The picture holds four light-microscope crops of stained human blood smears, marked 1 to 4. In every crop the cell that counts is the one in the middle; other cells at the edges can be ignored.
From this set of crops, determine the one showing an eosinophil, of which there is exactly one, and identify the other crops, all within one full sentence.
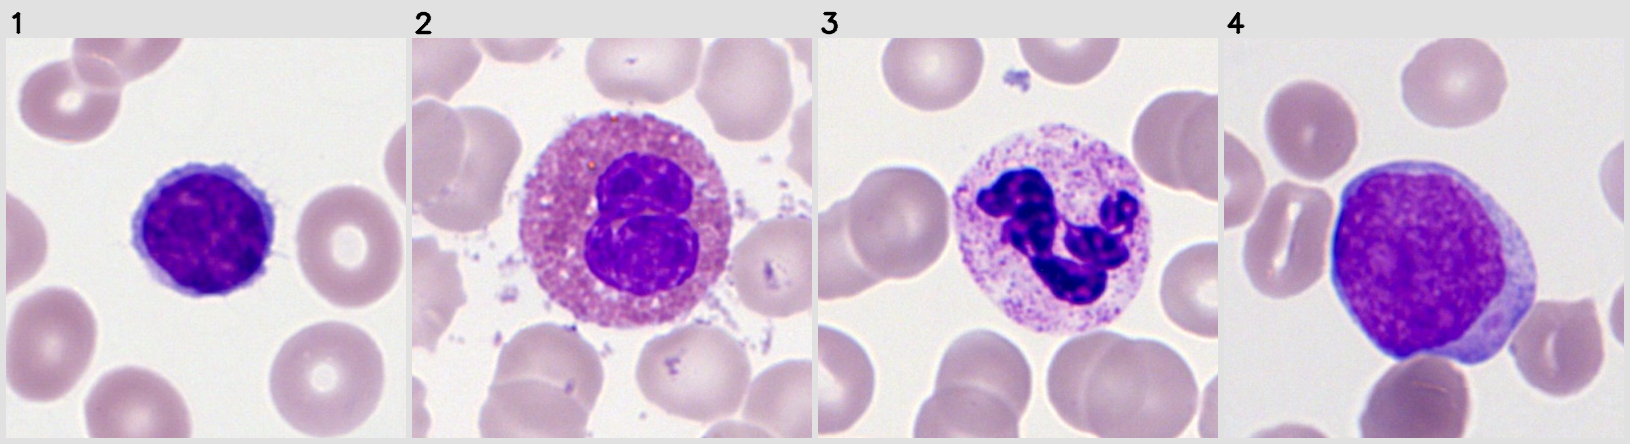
The central cell in crop 2 is an eosinophil, whereas crop 1 is a lymphocyte, crop 3 is a neutrophil and crop 4 is a blast.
